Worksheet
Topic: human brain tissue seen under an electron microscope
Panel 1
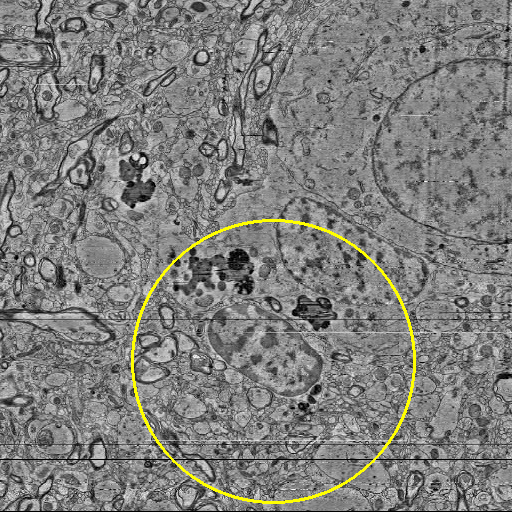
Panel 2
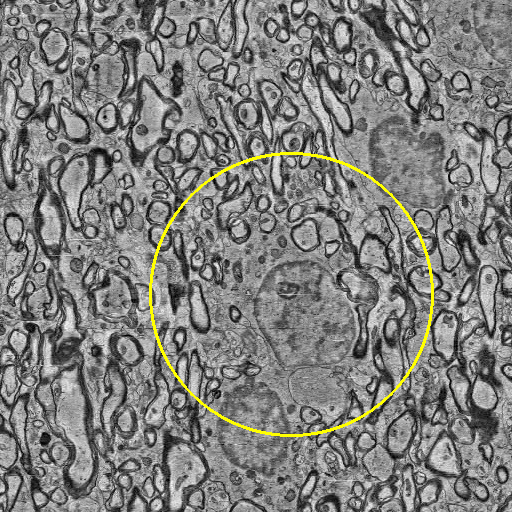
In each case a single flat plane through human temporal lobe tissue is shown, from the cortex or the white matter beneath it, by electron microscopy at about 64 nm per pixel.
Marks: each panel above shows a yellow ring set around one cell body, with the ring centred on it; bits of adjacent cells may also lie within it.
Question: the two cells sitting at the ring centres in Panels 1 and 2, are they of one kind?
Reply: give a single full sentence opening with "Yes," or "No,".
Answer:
No, the two ring-centre cells in Panel 1 and Panel 2 are of two kinds.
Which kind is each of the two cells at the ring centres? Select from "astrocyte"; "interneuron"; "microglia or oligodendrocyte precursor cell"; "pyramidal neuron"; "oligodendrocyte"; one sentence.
The cell at the centre of the ring is a microglial cell or oligodendrocyte precursor cell in the first picture and an oligodendrocyte in the second.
